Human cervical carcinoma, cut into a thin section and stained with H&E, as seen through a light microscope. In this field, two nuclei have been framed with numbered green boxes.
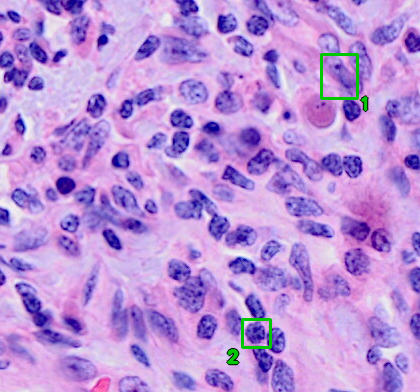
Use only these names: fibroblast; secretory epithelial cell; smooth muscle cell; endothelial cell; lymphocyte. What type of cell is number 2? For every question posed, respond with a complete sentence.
Nucleus 2 in this section belongs to a lymphocyte.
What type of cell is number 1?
The cell that goes by number 1 is an endothelial cell.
